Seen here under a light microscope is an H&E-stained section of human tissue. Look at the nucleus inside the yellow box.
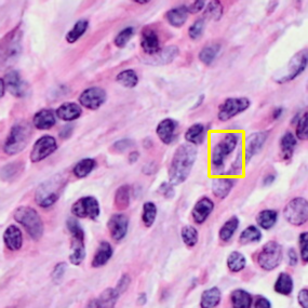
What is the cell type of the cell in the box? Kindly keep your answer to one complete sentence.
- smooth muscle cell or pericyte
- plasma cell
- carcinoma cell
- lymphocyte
In this tissue sample, the cell in the box is a lymphocyte.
